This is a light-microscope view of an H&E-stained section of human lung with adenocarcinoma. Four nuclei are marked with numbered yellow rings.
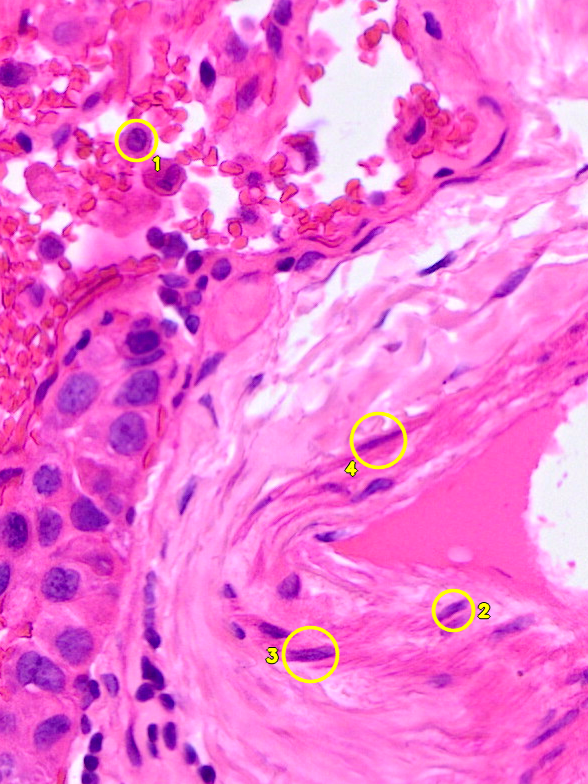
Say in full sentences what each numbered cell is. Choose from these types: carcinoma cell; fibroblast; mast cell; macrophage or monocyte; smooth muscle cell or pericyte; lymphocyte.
Cell 1 is a macrophage or monocyte. Cells 2, 3 and 4 are smooth muscle cells or pericytes.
